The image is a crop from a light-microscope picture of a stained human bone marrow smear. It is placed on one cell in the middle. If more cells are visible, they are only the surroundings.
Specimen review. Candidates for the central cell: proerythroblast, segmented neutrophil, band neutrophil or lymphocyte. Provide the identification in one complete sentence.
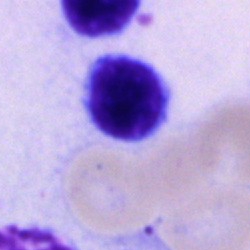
The cell marked by its central position in the crop is a lymphocyte.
